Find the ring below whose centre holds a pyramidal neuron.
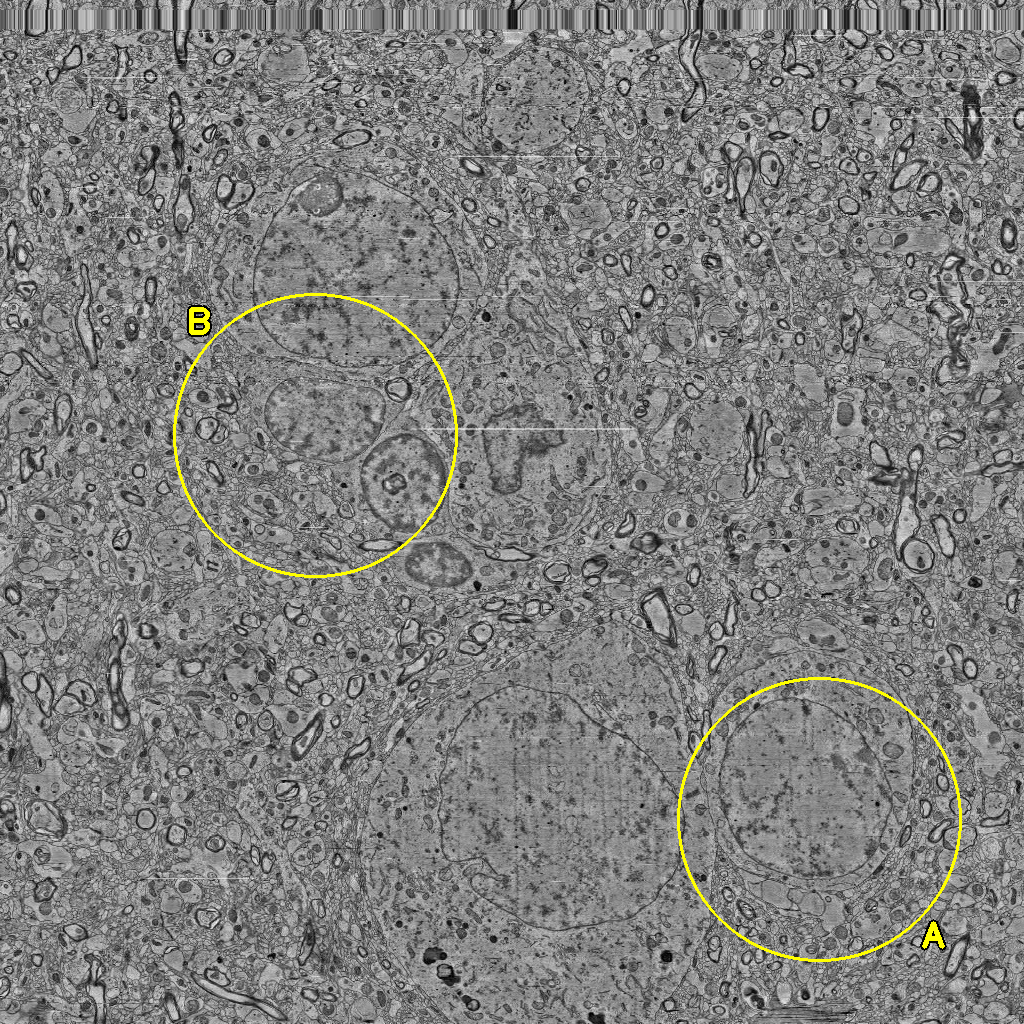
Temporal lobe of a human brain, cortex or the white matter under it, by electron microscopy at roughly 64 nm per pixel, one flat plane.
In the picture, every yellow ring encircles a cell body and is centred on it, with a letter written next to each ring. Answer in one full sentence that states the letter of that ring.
The ring centred on the cell asked for in the picture carries the letter A.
